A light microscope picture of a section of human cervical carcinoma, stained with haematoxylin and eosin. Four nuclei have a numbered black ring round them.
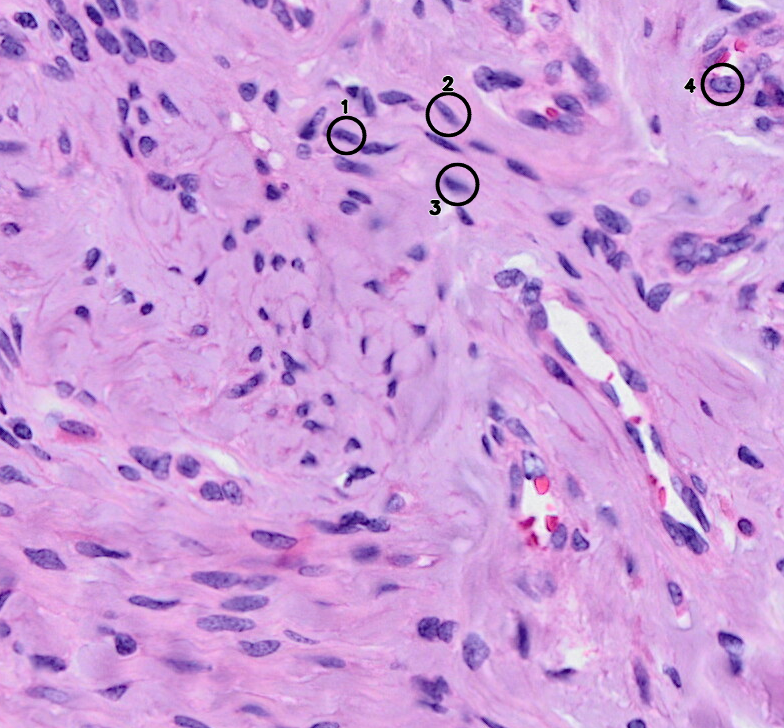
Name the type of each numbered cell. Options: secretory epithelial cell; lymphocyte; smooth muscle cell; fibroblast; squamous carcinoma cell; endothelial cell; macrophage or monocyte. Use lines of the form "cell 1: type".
cell 1: fibroblast
cell 2: fibroblast
cell 3: fibroblast
cell 4: endothelial cell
